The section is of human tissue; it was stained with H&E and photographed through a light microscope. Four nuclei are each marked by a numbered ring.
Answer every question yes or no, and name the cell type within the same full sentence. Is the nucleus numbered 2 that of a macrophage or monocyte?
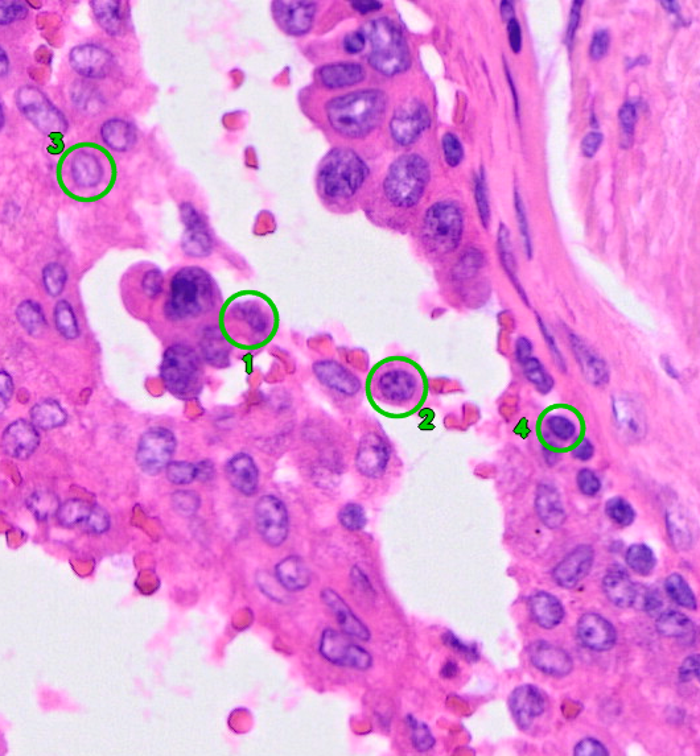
Yes, the cell that goes by number 2 is a macrophage or monocyte.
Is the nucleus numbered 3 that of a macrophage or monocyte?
Yes, a macrophage or monocyte is what the cell numbered 3 is.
